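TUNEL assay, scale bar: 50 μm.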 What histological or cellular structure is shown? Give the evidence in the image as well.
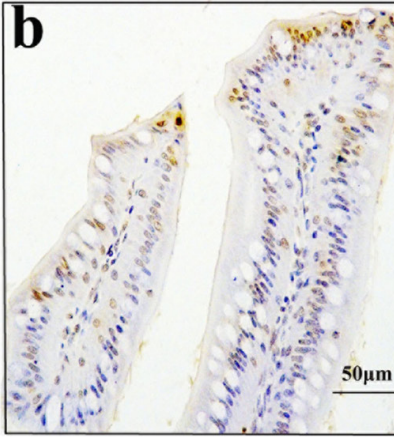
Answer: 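Villi. Elongated projections covered by columnar epithelium with clear oval goblet-like spaces. A narrow central core of connective tissue runs along each projection.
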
